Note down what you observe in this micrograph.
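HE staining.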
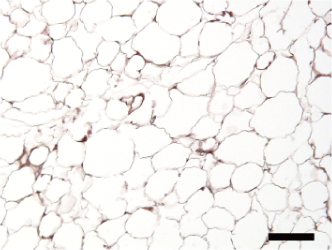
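A section of white adipose tissue shows a honeycomb of adipocytes, each an empty-looking vacuole bounded by a thin membrane-like rim. The cells are of mixed size, and a few denser darker strands and spots between them mark the thin stroma and flattened nuclei.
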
